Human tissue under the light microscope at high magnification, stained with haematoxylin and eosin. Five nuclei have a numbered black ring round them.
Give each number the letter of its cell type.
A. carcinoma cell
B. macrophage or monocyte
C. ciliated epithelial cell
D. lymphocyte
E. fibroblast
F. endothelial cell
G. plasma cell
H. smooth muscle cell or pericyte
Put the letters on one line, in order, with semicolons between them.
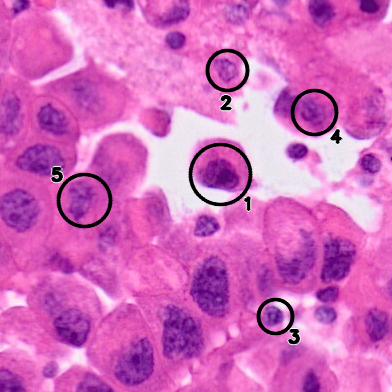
A; B; D; A; A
